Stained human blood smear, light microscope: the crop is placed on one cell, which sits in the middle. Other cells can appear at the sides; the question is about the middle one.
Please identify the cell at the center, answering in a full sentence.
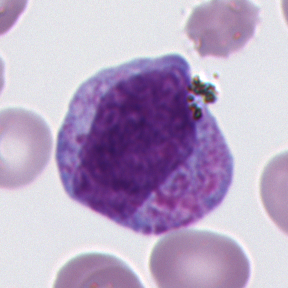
The identification for the central cell is an atypical promyelocyte.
